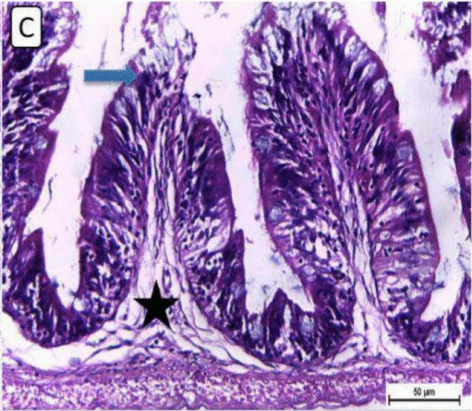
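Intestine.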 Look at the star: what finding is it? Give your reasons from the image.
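The star sits in a pale, loose, sparsely cellular zone between the bases of the folds.
Answer: submucosal edema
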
